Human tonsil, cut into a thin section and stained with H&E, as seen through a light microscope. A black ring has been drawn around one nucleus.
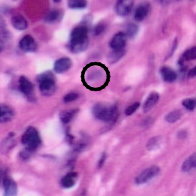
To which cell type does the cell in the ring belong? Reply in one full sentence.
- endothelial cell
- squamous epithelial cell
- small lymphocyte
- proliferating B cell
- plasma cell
The cell meant here is an endothelial cell.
